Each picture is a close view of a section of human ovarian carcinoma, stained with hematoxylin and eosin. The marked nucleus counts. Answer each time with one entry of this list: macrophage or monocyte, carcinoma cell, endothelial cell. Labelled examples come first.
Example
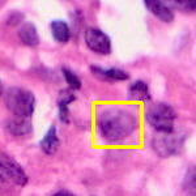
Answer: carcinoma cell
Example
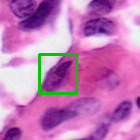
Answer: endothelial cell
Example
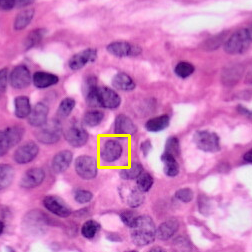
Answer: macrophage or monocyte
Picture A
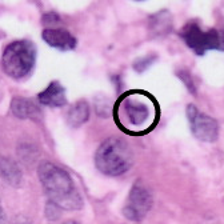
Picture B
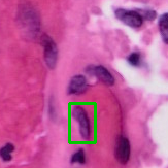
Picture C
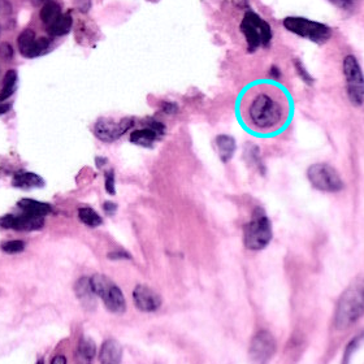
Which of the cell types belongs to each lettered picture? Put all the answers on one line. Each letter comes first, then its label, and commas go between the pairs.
A carcinoma cell, B endothelial cell, C macrophage or monocyte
